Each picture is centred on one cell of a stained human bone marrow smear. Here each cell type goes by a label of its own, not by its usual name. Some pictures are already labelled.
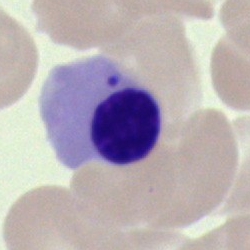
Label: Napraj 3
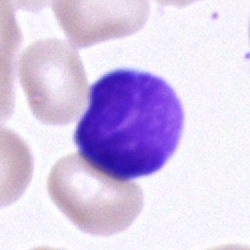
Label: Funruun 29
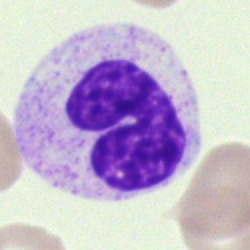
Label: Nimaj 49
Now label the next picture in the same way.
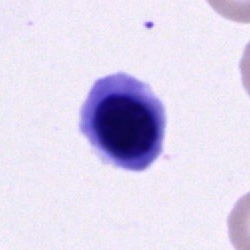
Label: Napraj 3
